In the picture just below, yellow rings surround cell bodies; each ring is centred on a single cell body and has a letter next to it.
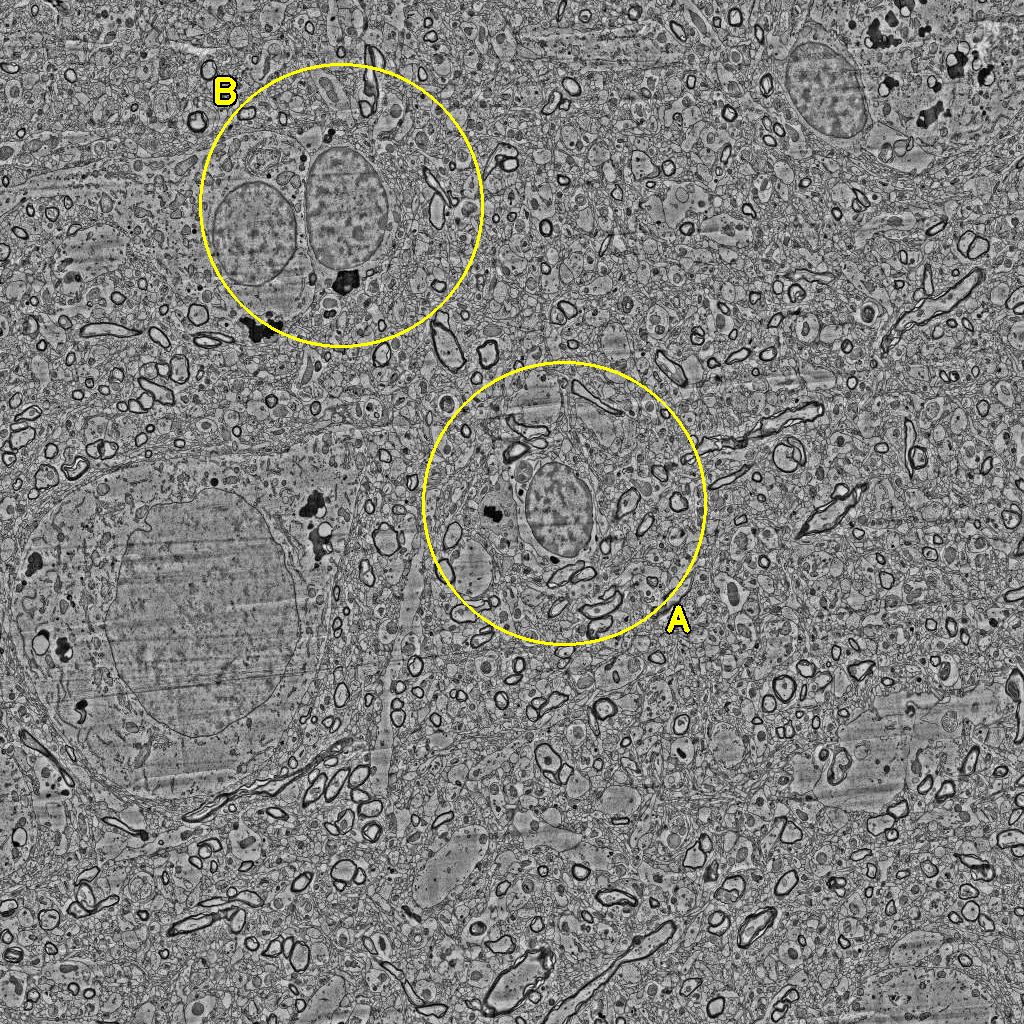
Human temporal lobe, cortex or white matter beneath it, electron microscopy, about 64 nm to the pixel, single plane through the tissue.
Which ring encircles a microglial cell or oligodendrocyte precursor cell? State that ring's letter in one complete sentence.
The letter A marks the ring centred on the cell asked for in the picture.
